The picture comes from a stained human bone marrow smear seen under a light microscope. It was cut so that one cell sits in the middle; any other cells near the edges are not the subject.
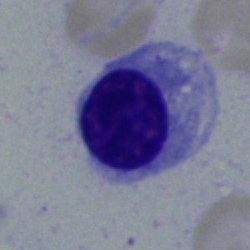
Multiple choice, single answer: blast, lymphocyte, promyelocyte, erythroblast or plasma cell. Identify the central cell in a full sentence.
The cell nearest the centre of this crop is an erythroblast.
